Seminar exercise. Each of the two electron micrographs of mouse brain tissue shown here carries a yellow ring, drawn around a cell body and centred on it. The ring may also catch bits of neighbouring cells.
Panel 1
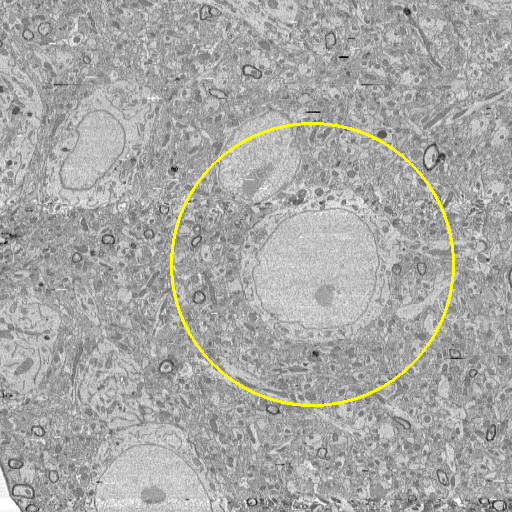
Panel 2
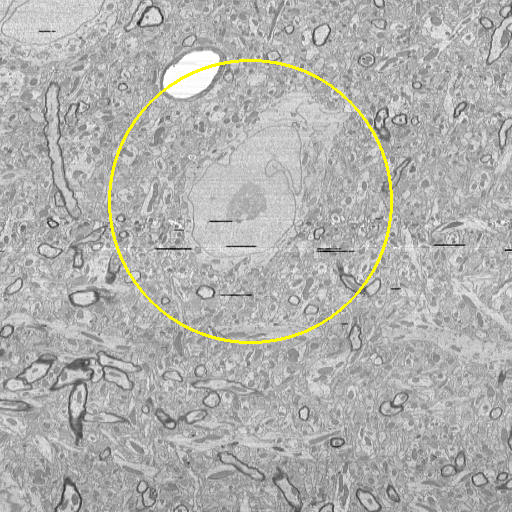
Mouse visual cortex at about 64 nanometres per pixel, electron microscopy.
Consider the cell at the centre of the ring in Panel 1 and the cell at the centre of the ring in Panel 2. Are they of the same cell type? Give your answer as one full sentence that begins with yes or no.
Yes, both cells are of the same type.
